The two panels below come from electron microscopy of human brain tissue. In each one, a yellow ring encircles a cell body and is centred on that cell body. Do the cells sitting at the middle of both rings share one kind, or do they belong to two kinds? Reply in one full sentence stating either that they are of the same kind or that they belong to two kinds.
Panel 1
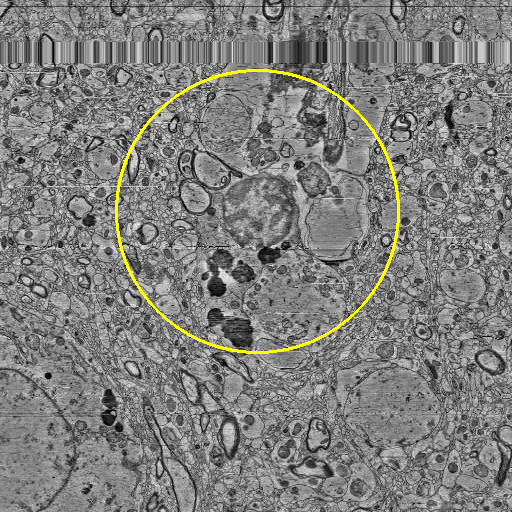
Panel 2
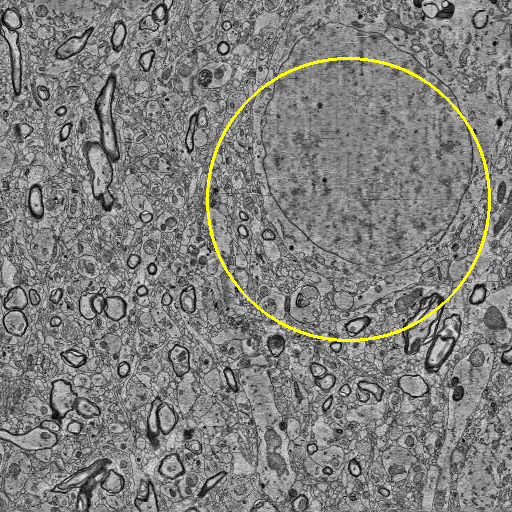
The cells at the centres of the two rings belong to two kinds.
